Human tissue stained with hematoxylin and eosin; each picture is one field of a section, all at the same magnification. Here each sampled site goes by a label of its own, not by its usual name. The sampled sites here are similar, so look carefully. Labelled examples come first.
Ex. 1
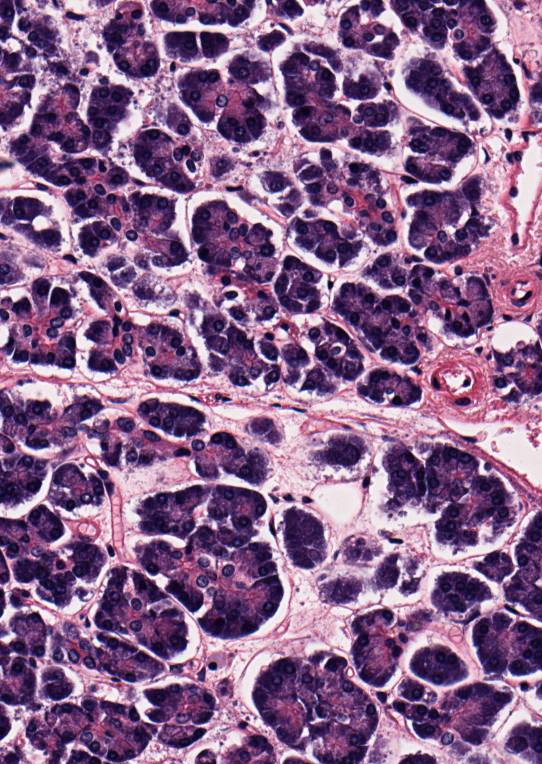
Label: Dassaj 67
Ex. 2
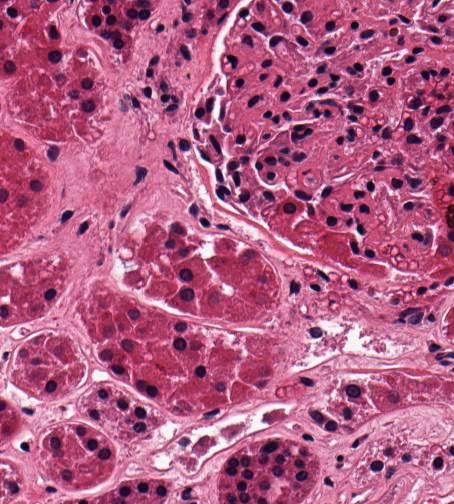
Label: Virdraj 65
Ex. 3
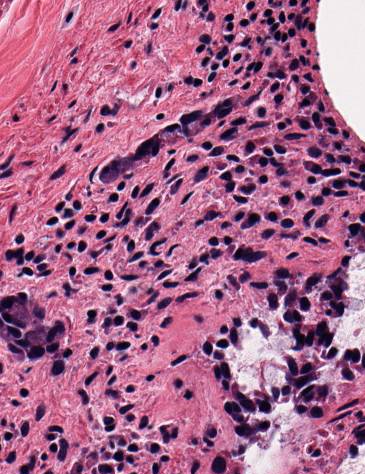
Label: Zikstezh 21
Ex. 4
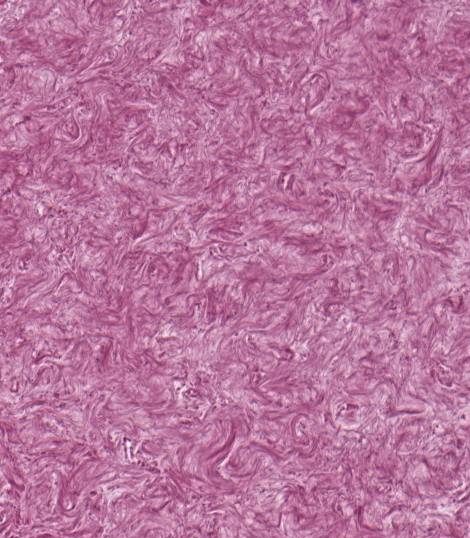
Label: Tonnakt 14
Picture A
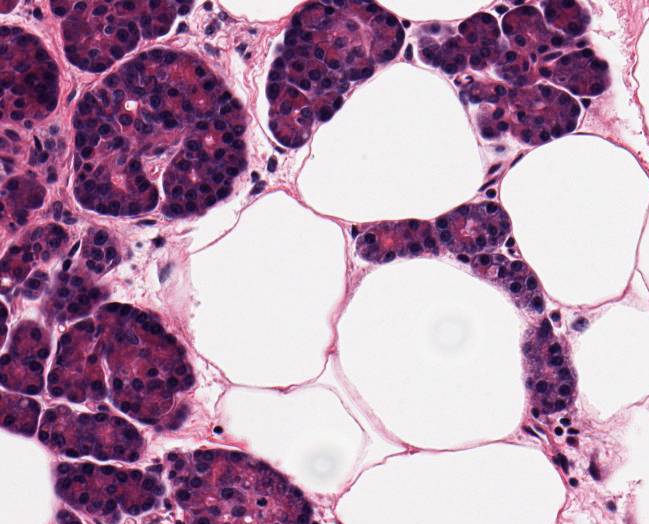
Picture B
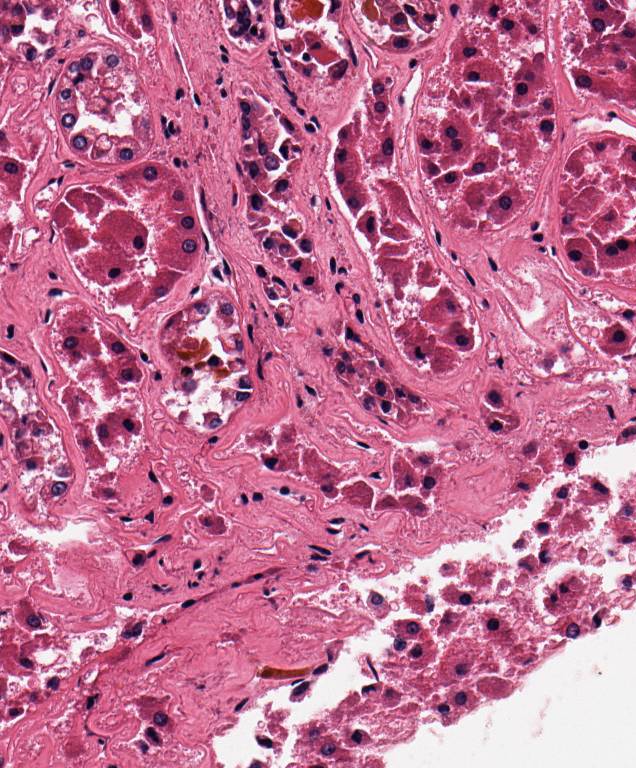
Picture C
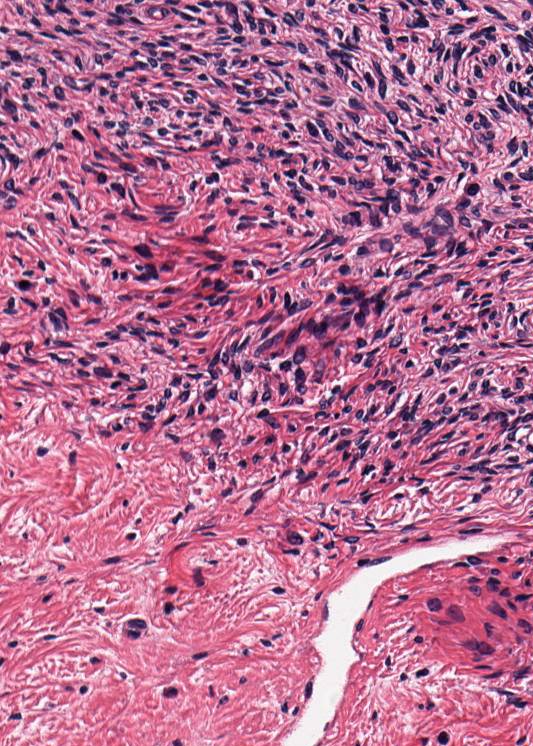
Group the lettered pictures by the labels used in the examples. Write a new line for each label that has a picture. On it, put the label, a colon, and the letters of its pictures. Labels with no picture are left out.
Dassaj 67: A
Virdraj 65: B
Tonnakt 14: C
